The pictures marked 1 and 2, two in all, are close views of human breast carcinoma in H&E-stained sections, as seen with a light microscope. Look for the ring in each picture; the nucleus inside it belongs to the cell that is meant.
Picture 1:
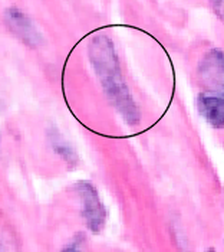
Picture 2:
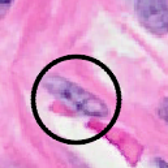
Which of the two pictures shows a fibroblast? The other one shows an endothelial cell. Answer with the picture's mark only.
1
